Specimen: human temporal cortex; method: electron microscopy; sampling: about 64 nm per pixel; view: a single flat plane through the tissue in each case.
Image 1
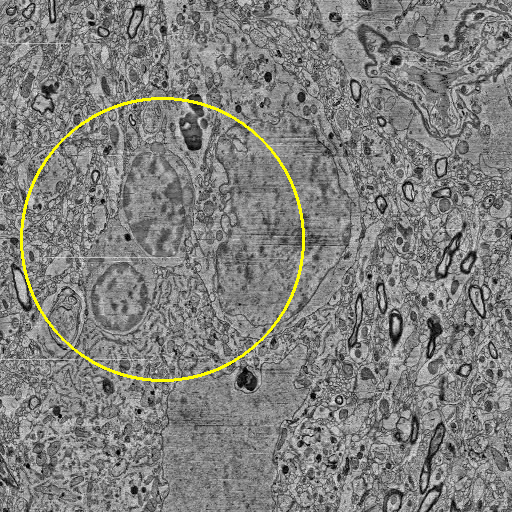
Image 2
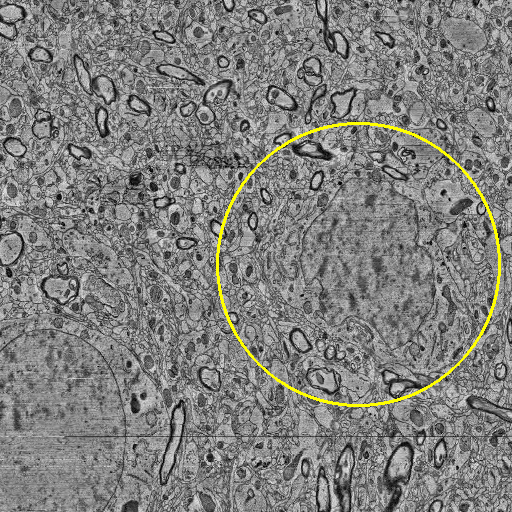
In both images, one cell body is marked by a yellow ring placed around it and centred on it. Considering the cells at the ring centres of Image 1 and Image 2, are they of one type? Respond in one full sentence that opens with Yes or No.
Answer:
No, two types apply to the ring-centred cells of Image 1 and Image 2.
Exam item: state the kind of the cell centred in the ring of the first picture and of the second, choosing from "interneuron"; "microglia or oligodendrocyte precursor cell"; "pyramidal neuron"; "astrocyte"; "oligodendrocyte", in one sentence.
The first picture shows an oligodendrocyte at the ring centre and the second shows an interneuron.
